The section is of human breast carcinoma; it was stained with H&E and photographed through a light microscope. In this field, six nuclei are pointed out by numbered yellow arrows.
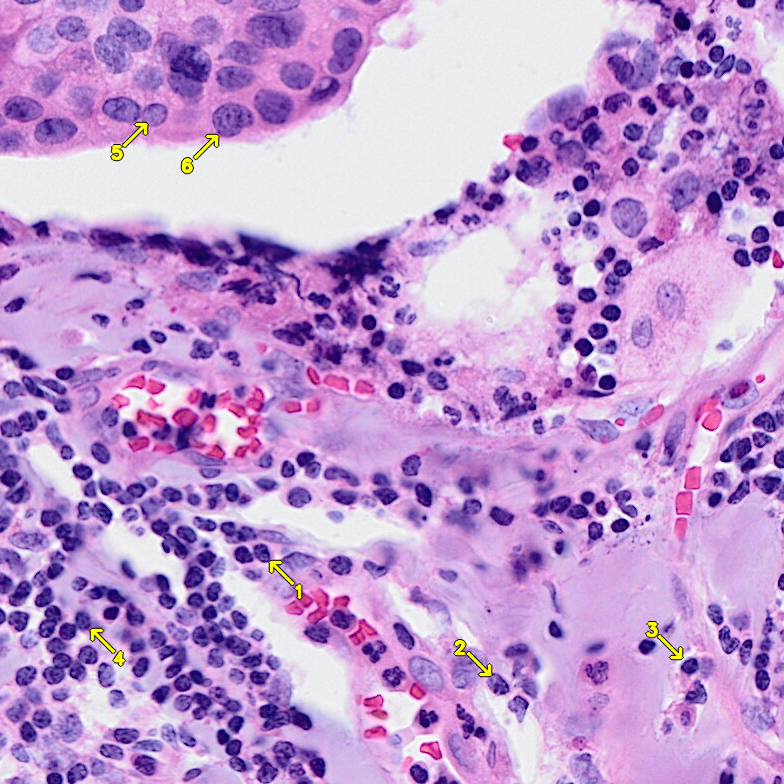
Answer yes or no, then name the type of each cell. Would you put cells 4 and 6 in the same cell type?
No, cell 4 is a lymphocyte and cell 6 is a carcinoma cell.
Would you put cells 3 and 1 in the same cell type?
Yes, both are lymphocytes.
